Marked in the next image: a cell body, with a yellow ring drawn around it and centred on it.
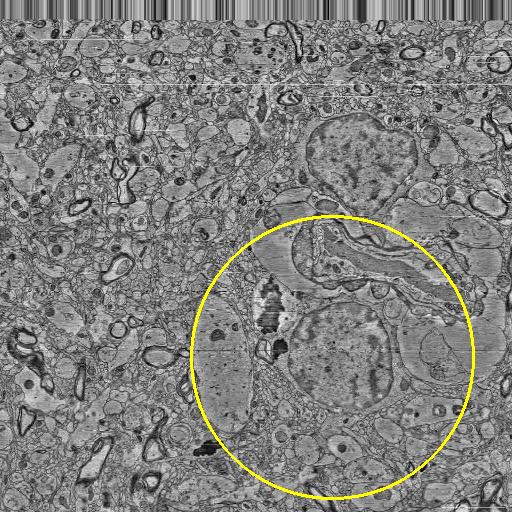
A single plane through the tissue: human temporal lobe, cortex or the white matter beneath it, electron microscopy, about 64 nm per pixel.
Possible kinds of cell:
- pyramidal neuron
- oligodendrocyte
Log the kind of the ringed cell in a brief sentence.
The ringed cell body is that of an oligodendrocyte.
